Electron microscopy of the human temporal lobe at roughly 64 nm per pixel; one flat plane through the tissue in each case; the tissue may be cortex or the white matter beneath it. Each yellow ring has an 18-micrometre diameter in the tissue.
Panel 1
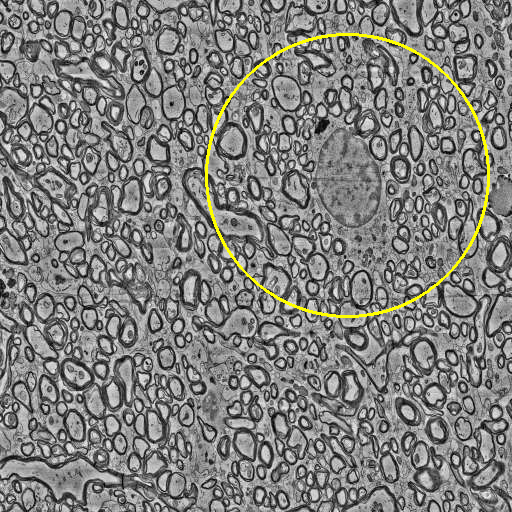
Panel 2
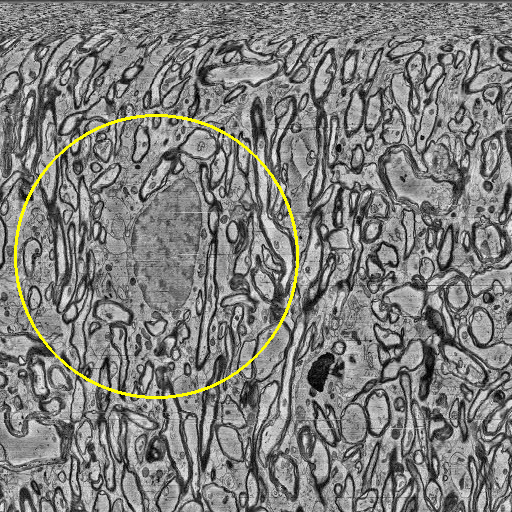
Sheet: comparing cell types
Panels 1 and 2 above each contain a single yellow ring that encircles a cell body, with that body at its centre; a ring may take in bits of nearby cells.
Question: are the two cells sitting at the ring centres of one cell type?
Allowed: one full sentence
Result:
Yes, the ring-centre cells in Panel 1 and Panel 2 are of one type.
